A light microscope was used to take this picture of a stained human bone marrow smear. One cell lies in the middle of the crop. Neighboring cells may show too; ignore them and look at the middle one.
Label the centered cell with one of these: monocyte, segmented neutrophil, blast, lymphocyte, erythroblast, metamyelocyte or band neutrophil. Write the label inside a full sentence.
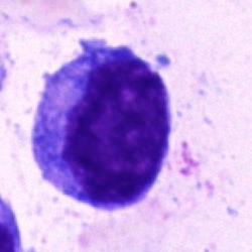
The target cell in the middle of the crop is a blast.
